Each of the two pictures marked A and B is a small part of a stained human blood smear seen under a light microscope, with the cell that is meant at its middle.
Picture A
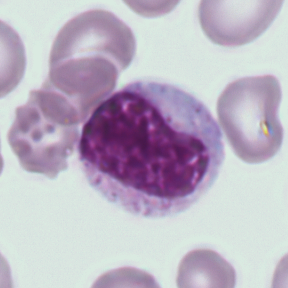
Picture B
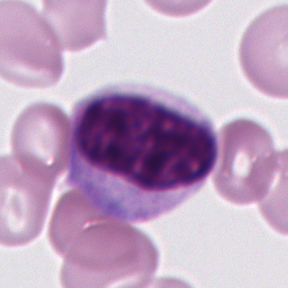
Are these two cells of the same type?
yes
